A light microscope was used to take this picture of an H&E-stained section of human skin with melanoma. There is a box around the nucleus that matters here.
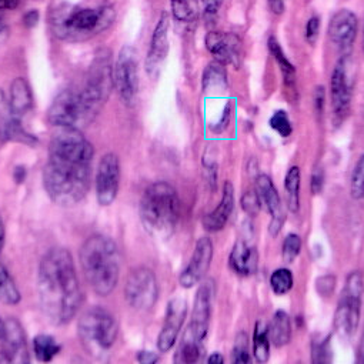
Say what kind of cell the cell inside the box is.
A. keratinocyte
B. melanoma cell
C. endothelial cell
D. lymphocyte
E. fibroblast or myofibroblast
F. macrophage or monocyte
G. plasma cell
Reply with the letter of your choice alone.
C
